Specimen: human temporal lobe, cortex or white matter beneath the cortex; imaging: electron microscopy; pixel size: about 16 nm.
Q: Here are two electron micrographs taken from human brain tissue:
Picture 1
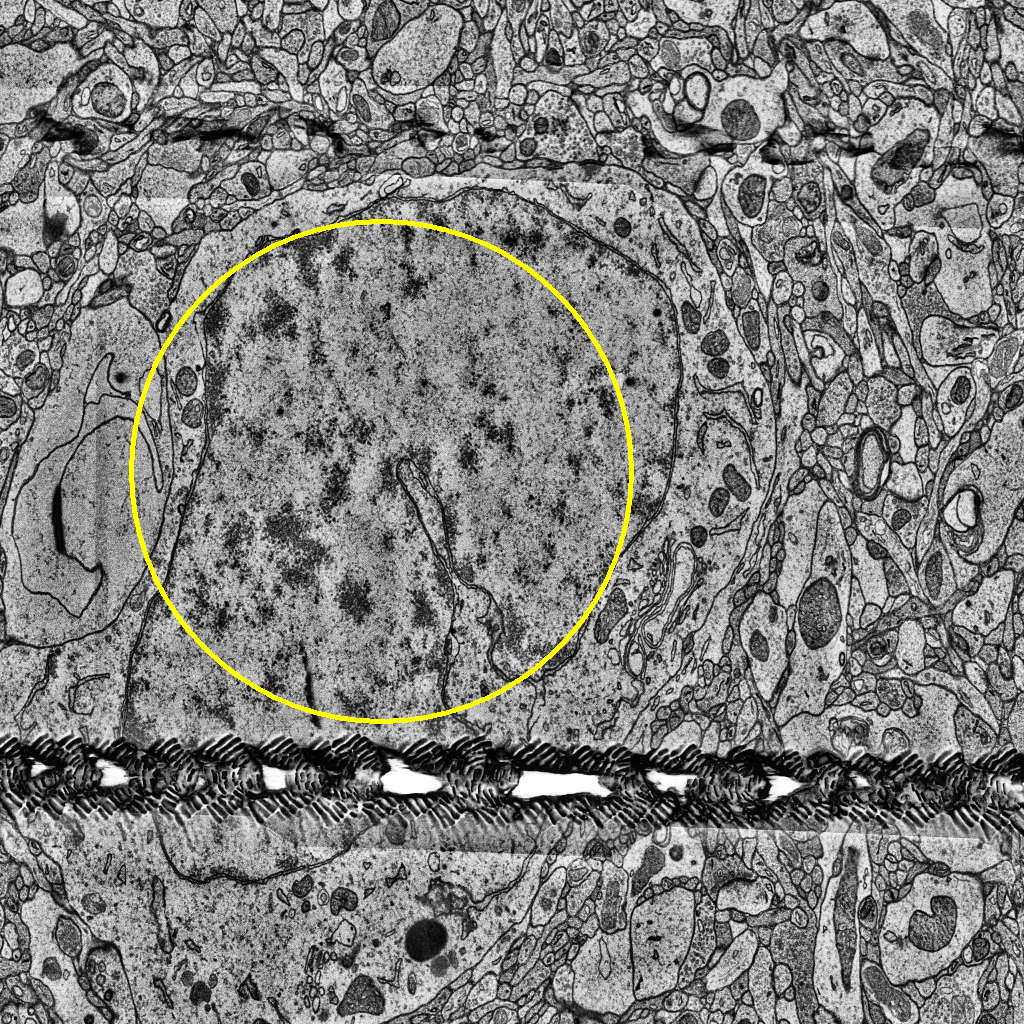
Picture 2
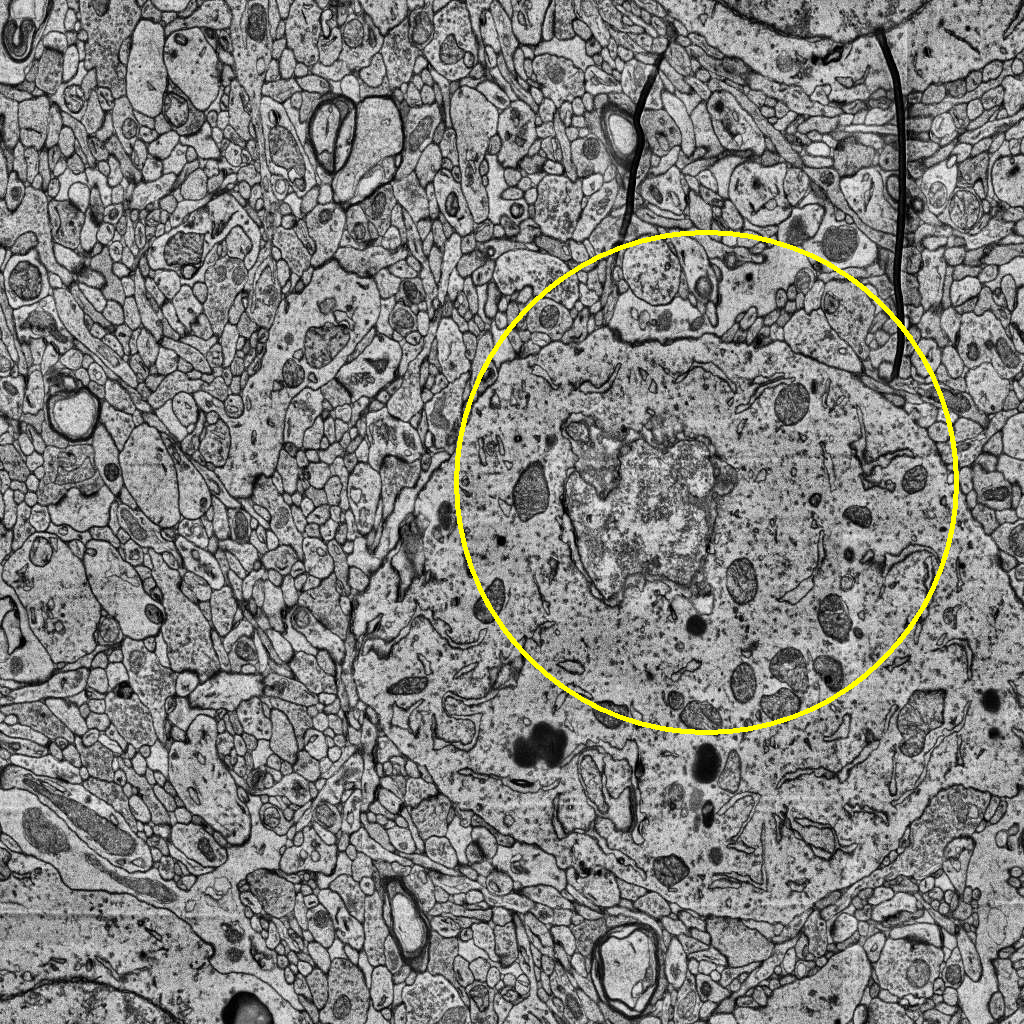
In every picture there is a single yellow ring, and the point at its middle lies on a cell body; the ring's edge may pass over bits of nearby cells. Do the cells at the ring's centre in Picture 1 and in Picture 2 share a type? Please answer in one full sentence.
Yes, the cells at the ring's centre in Picture 1 and Picture 2 share a type.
